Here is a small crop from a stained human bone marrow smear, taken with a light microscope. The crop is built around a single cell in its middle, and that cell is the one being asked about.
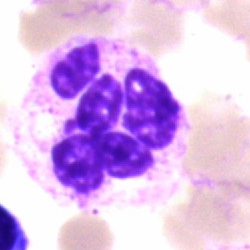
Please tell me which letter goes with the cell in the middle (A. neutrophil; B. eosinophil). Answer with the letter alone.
A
